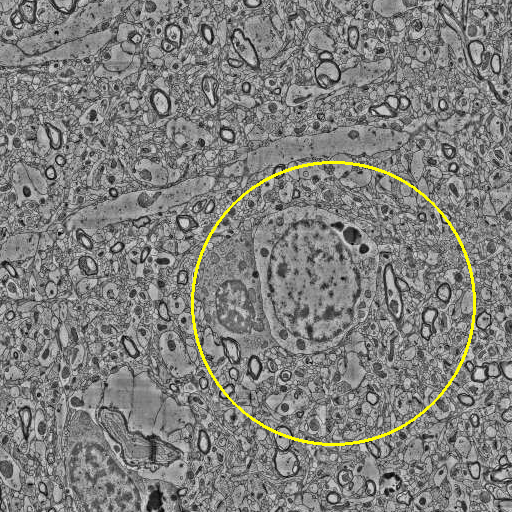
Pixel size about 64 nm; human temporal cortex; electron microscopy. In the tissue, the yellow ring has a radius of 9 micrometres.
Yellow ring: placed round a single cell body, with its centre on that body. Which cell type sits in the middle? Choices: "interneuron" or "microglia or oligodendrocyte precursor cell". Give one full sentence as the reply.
It is an interneuron whose cell body sits at the centre of the yellow ring.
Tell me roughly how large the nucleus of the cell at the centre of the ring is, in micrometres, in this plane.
In this plane the nucleus measures roughly 8 by 6 micrometres.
